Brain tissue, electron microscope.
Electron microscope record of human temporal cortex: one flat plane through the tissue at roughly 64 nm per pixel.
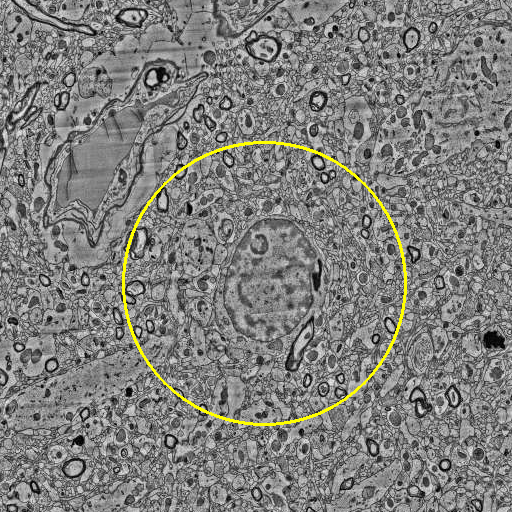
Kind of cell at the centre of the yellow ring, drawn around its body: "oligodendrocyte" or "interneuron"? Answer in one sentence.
The ring's centre falls on an oligodendrocyte.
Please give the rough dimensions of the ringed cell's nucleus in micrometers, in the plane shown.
The ringed cell's nucleus measures approximately 8 by 6 micrometres in this plane.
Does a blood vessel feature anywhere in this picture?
Yes, there is a blood vessel.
